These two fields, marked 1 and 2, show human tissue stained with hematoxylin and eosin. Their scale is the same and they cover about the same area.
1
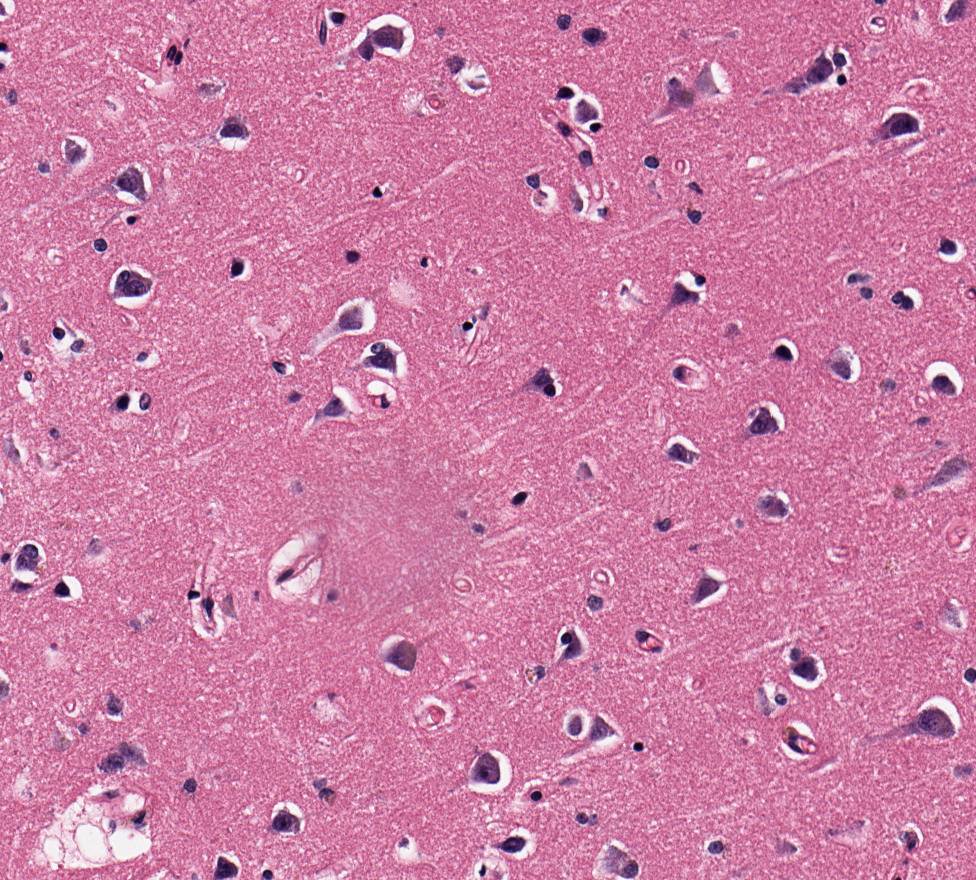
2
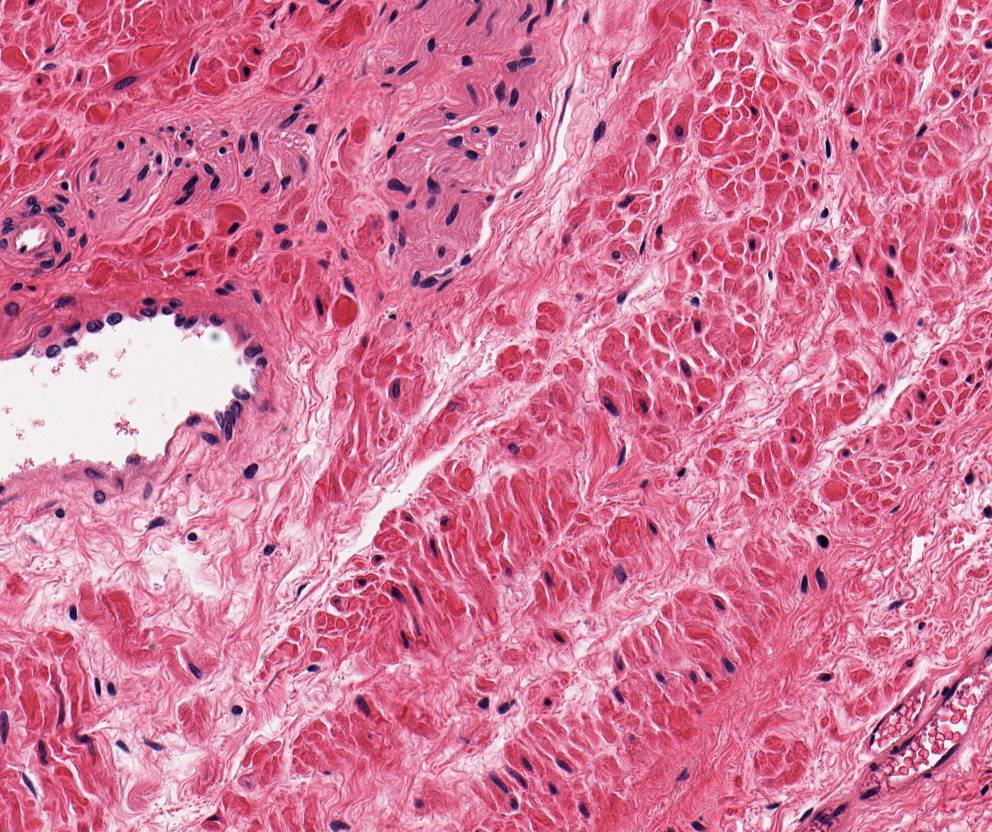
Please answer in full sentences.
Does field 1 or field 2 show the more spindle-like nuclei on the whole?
Longer, more slender nuclei lie in field 2.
